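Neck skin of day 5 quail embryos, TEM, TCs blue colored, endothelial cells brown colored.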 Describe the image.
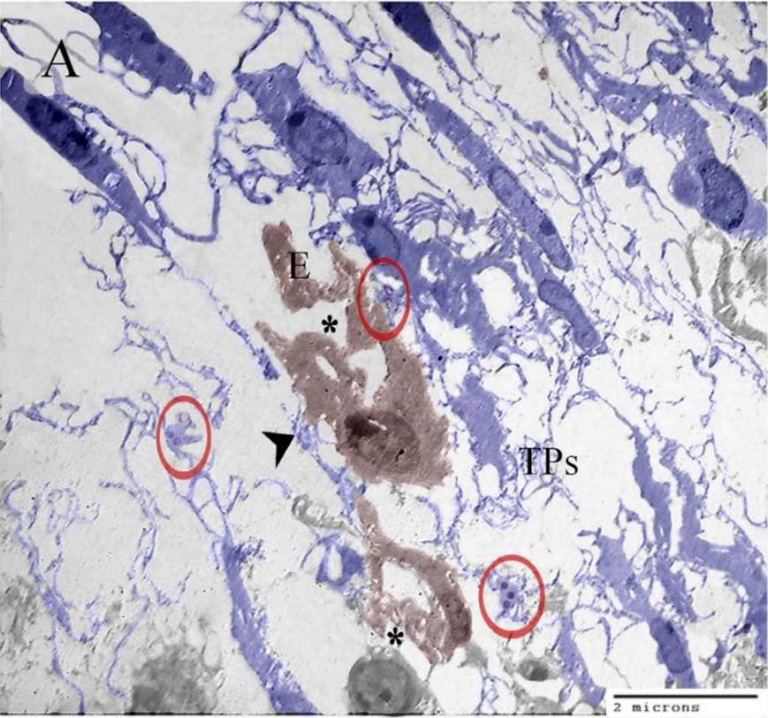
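The blue cells have elongated bodies with oval nuclei and give off very long, thin, branching processes. These processes interweave into a loose network throughout the field. The brown-coloured cell is irregular and lobed with a dense nucleus, narrows at points along its length, and is approached closely by thin blue processes.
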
